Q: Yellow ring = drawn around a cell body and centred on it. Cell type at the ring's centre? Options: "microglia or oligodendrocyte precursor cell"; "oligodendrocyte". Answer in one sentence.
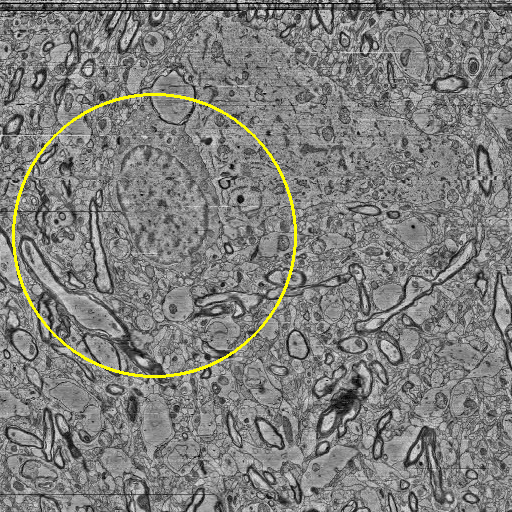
Centred in the ring is an oligodendrocyte.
